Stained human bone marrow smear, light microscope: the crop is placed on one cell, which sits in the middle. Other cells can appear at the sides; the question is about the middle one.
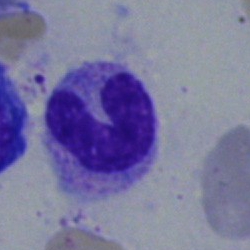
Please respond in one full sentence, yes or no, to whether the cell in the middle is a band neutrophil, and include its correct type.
Yes, the cell positioned in the middle is a band neutrophil.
